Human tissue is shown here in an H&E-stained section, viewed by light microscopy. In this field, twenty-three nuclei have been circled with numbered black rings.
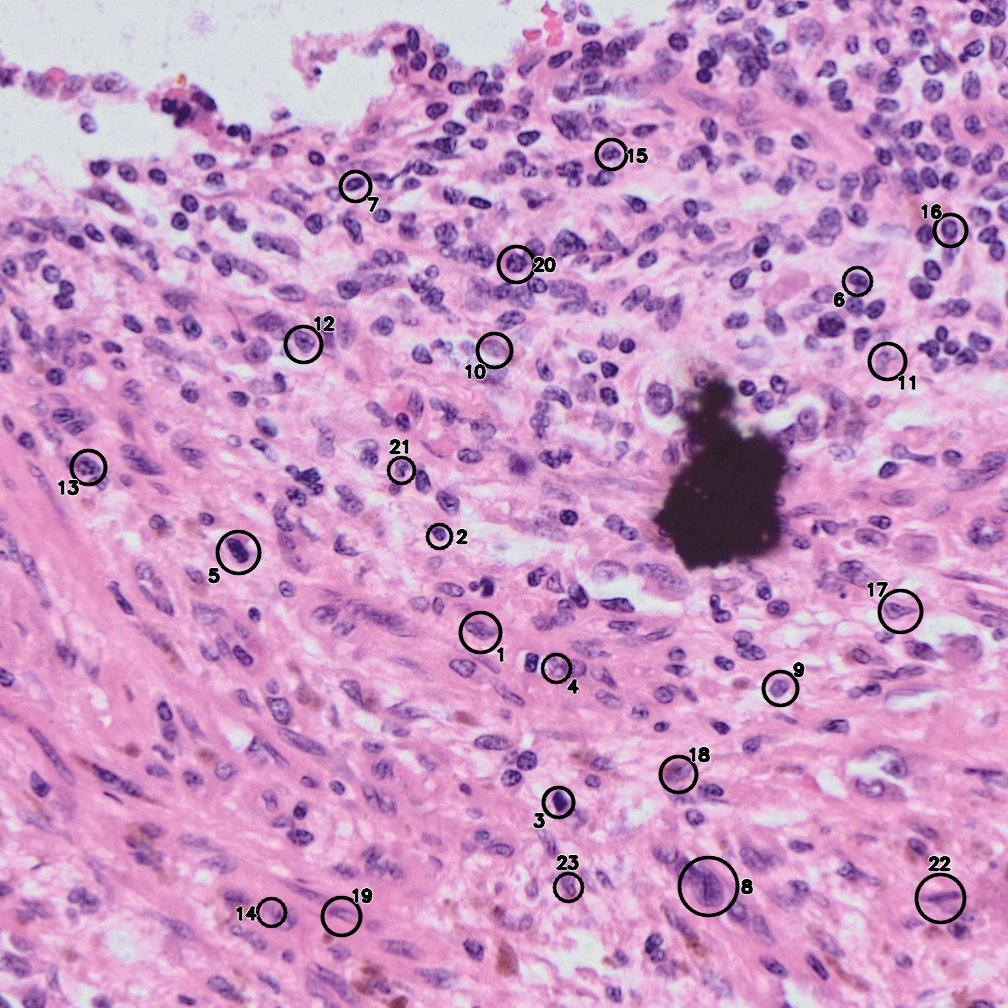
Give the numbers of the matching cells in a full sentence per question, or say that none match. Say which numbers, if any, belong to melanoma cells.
The one cell that is a melanoma cell is cell 8, and no other.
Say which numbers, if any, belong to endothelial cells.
As for the cells numbered 4, 14 and 19, they are endothelial cells.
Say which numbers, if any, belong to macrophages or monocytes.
Into the category of macrophages or monocytes fall the cells numbered 1, 10, 11, 17, 18 and 23.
